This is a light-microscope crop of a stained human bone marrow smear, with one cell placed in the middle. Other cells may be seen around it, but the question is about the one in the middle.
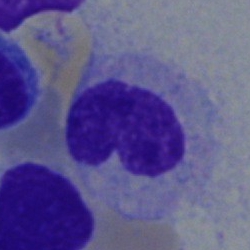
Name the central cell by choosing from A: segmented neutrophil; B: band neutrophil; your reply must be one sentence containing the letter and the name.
The cell centred in the crop is a band neutrophil, and the correct option is thus B.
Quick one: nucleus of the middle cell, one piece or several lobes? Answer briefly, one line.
Round, oval or kidney-shaped, the nucleus is one compact mass.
